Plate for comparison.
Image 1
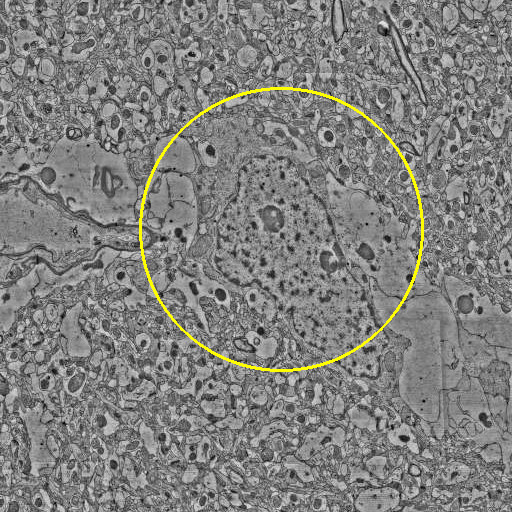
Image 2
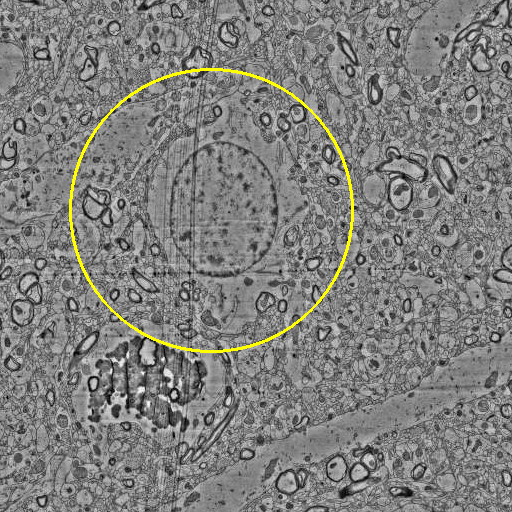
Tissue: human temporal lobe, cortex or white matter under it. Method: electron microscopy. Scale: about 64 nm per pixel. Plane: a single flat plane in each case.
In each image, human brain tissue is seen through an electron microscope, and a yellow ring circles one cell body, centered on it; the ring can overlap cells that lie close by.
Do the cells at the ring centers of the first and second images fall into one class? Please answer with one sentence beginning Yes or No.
No, the first and second images show two classes of cell at the ring centers.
